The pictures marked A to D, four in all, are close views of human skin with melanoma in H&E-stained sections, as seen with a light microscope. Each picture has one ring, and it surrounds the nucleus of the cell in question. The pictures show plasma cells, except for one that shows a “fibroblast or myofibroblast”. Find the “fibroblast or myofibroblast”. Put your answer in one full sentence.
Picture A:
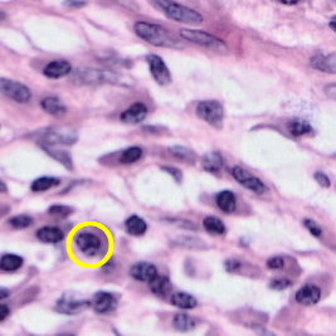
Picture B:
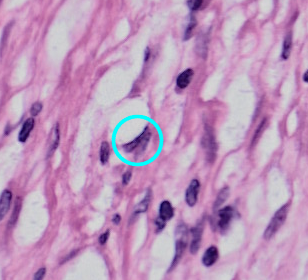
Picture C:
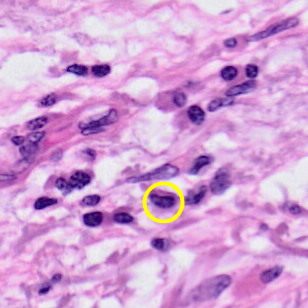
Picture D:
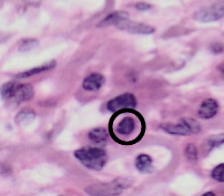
The picture with the “fibroblast or myofibroblast” is B.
